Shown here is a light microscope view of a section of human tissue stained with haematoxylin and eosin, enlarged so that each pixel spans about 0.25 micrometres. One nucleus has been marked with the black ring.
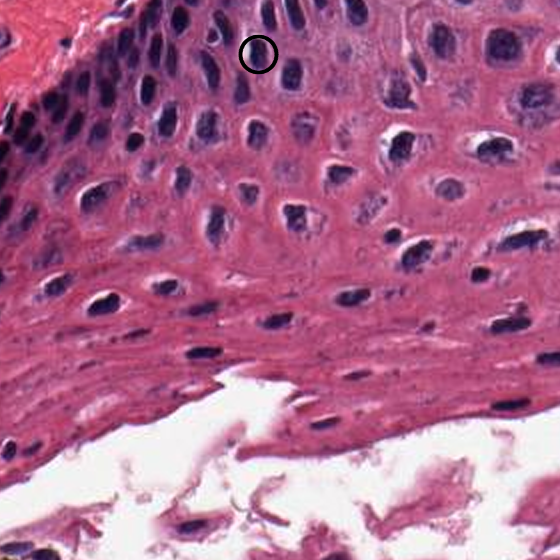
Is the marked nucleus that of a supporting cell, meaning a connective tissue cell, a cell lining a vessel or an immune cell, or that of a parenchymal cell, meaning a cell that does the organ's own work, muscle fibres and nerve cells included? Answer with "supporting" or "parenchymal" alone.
parenchymal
